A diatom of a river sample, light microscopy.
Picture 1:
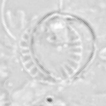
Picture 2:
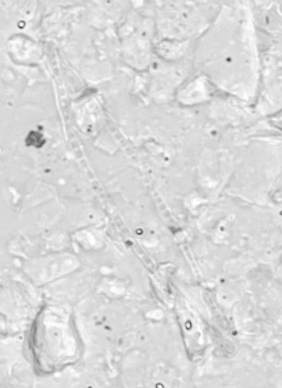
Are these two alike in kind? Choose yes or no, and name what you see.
No. First Cyclotella, second Nitzschia.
